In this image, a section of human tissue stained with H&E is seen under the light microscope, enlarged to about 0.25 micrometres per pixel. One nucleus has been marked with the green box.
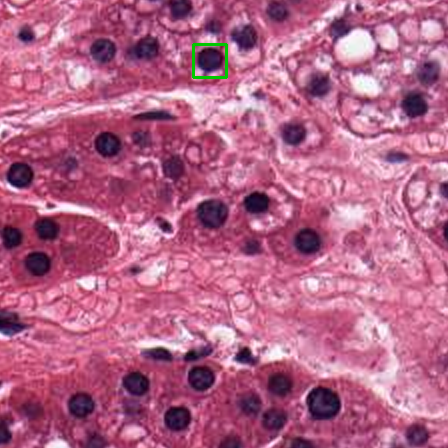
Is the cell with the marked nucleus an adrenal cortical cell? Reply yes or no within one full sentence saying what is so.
Yes, the marked nucleus is held by an adrenal cortical cell.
